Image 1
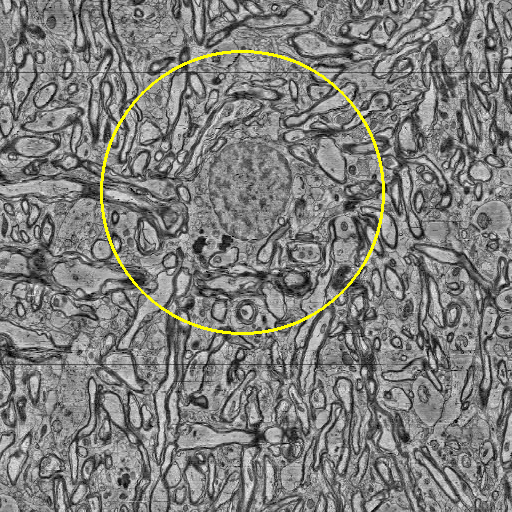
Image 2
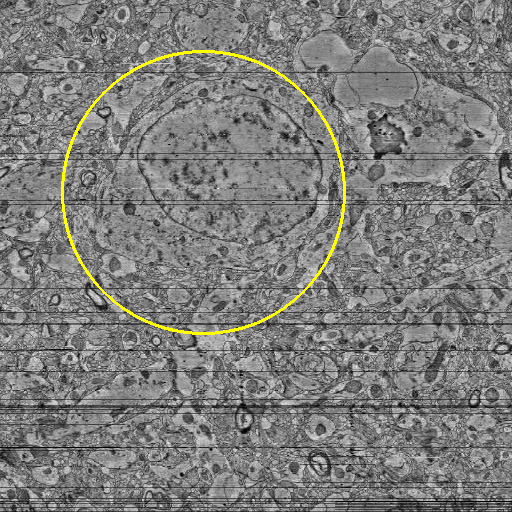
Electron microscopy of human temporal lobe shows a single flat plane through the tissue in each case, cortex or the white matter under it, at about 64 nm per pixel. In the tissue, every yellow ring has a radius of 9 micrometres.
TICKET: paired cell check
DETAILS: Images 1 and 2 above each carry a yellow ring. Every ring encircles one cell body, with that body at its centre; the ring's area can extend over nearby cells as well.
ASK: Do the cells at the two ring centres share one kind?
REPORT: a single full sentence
No, the ring-centre cells of Images 1 and 2 belong to two kinds.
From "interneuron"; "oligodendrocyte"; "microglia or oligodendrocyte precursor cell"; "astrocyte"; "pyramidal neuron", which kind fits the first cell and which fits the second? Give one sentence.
The cell marked in the first picture is an oligodendrocyte, and the one marked in the second is a pyramidal neuron.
